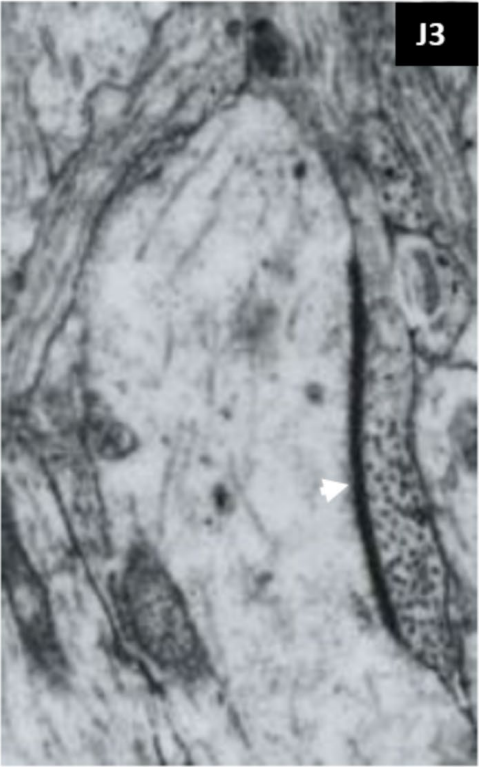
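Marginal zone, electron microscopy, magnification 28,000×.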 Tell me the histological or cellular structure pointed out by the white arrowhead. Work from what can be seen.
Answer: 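A long, thick, dark band runs along the membranes where two profiles meet. The dense band extends over much of the length of the contact.
Answer: long intercellular junction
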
